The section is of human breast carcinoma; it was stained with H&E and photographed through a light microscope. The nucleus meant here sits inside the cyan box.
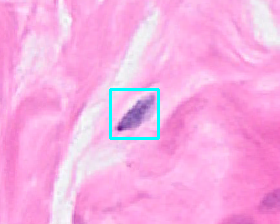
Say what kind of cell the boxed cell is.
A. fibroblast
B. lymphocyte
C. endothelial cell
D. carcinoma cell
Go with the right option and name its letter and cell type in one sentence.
In this case the boxed cell is a fibroblast, so option A is correct.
